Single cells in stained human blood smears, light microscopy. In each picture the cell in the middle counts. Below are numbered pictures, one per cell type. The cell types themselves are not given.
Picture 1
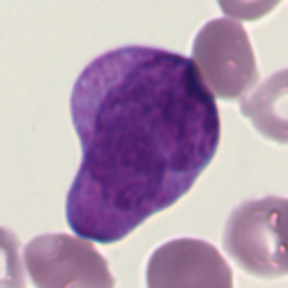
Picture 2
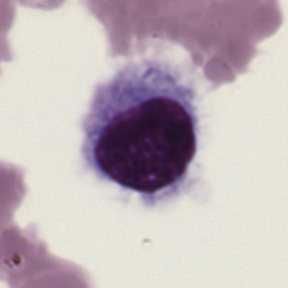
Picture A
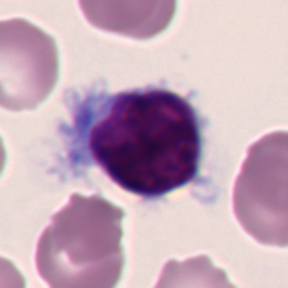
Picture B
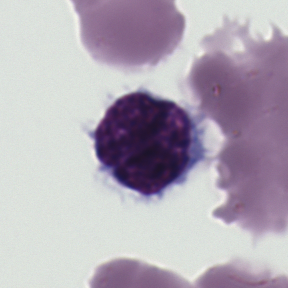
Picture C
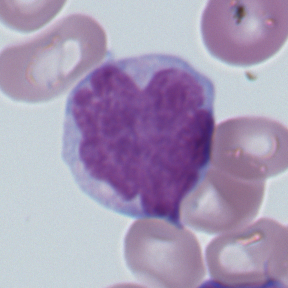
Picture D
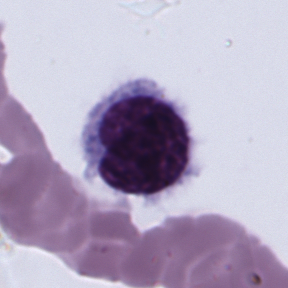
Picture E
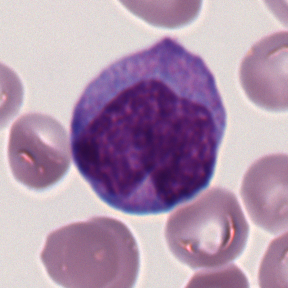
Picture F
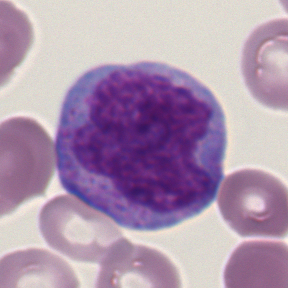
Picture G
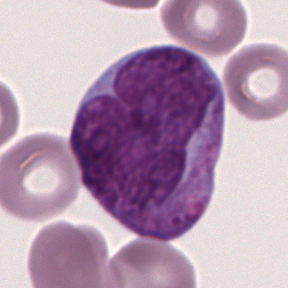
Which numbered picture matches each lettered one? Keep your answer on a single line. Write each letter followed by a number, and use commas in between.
A 2, B 2, C 1, D 2, E 1, F 1, G 1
